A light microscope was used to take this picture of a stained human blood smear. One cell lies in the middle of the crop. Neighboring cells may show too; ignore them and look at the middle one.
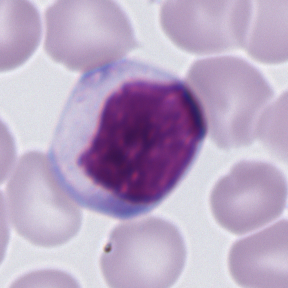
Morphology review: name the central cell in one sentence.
For this crop, the cell in the middle is a large granular lymphocyte.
